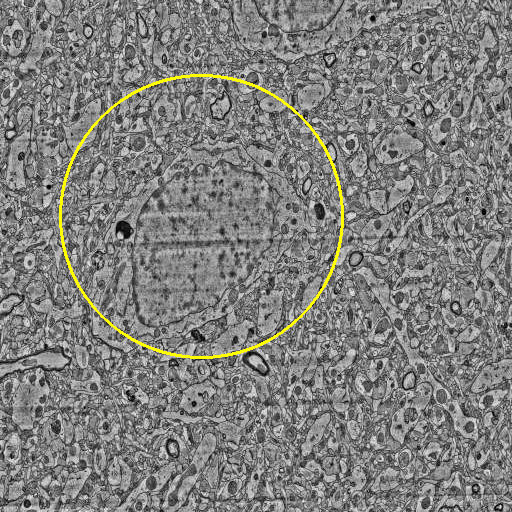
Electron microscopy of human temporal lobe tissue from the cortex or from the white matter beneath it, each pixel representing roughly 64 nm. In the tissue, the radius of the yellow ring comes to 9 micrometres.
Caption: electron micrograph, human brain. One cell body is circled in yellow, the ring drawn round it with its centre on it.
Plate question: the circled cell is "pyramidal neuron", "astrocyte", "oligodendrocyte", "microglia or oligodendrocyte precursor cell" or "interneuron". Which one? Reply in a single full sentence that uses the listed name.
The yellow ring on the plate is centred on an interneuron, going by the listed names.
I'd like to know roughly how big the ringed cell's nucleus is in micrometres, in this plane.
Approximately 12 x 8 micrometres in this plane.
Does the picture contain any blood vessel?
No.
